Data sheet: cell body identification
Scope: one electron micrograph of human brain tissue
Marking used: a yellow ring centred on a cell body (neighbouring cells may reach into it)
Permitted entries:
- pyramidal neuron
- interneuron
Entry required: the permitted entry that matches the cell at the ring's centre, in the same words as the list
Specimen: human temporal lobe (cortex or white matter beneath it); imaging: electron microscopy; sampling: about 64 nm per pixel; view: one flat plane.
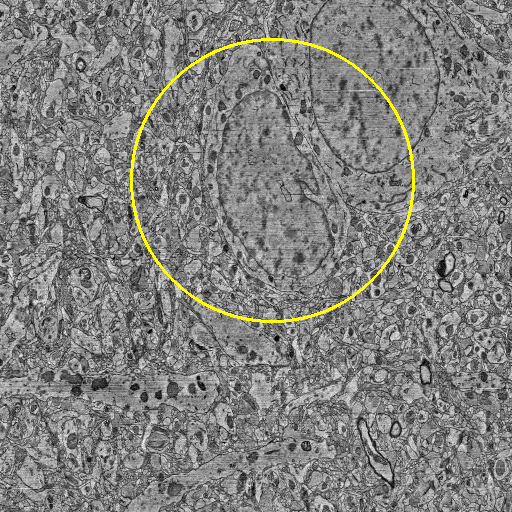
interneuron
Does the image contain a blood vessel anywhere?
No, no vessel shows anywhere in the image.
